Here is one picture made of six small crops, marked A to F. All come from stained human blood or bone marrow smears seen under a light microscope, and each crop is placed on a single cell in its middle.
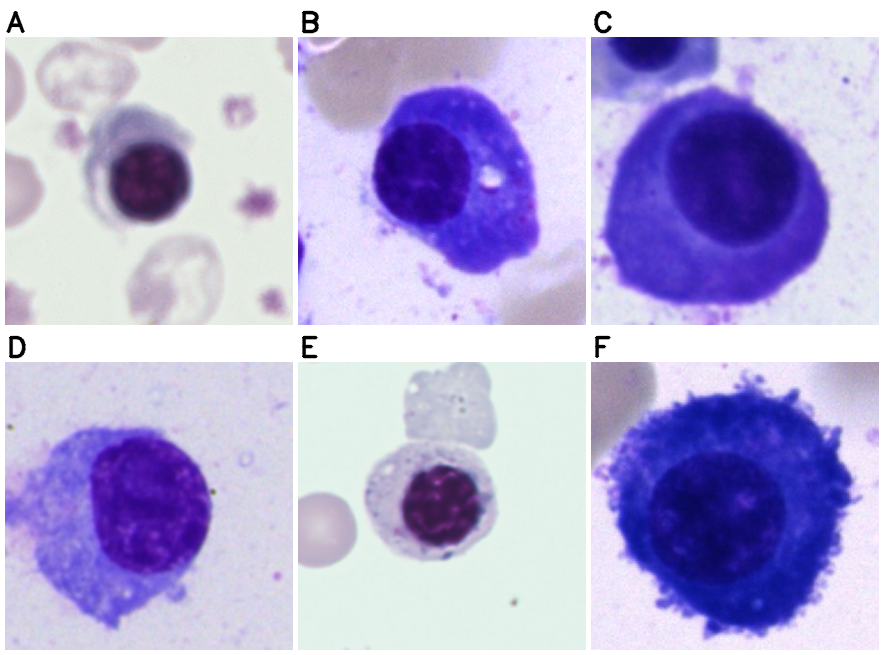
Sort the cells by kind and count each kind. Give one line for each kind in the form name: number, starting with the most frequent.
plasma cell: 4
erythroblast: 2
